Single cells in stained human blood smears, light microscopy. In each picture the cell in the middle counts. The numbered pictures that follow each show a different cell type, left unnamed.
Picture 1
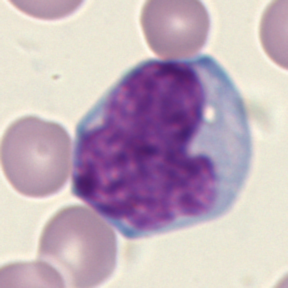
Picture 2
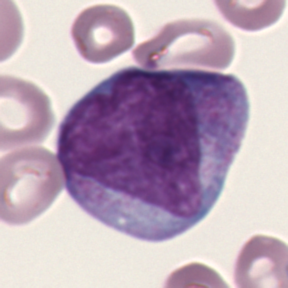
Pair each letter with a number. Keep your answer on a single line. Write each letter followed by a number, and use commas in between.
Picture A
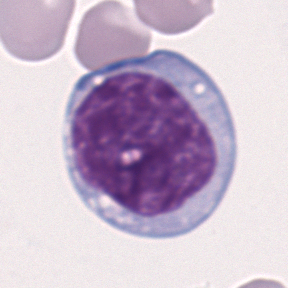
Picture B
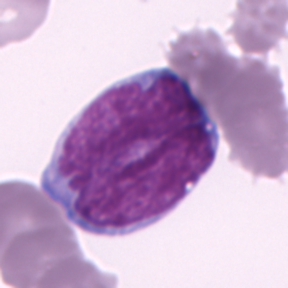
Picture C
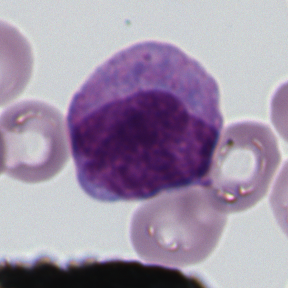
A 1, B 1, C 2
